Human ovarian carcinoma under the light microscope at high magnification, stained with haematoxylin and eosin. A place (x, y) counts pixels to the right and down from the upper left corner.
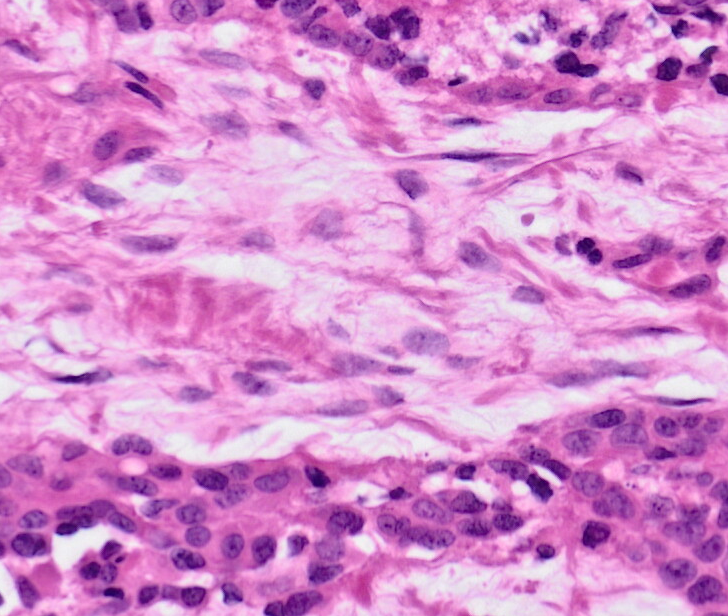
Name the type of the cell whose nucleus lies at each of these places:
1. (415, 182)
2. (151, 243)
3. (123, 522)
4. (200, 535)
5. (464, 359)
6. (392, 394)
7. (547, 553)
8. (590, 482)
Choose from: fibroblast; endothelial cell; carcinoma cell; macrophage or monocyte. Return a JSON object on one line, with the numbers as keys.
{"1": "fibroblast", "2": "fibroblast", "3": "carcinoma cell", "4": "carcinoma cell", "5": "fibroblast", "6": "fibroblast", "7": "macrophage or monocyte", "8": "carcinoma cell"}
